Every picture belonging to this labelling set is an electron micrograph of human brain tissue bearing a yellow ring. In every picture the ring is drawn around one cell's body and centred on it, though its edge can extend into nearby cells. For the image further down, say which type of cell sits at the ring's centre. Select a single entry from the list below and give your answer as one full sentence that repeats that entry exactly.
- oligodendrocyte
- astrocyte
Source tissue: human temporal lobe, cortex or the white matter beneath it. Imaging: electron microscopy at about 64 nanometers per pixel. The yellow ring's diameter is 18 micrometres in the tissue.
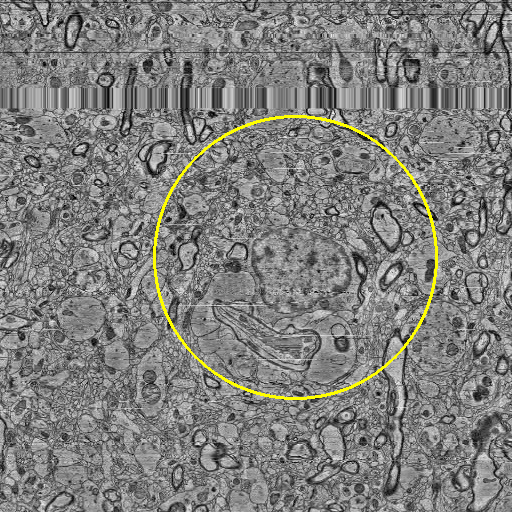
In the picture, an oligodendrocyte is the cell at the centre of the yellow ring.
